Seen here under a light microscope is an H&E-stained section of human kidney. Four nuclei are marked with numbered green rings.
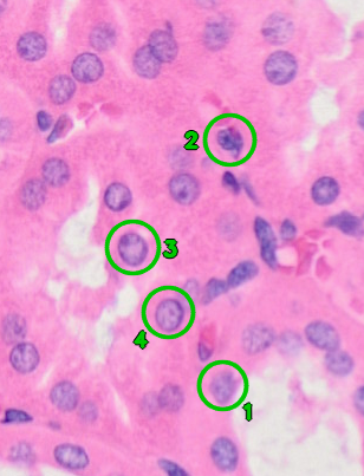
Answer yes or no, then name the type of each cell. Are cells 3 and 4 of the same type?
Yes, both are proximal tubule cells.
